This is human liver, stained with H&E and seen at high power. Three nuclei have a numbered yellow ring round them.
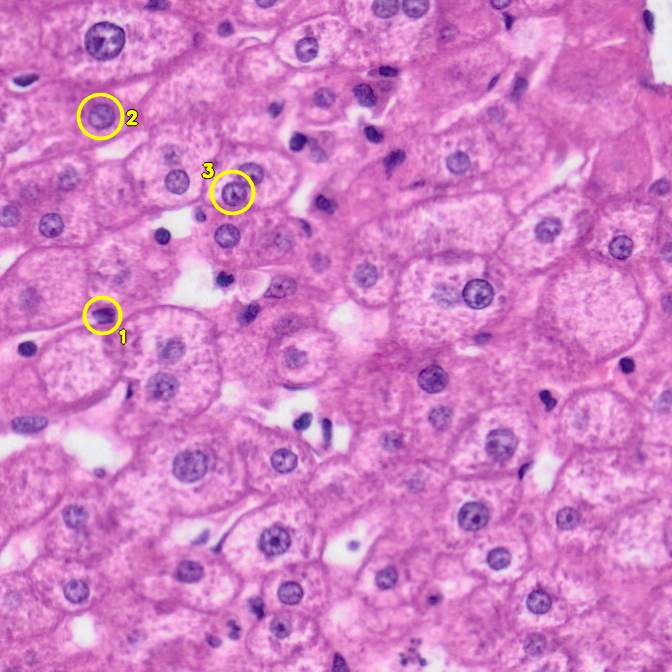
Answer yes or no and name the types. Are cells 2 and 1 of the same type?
No, hold on, cell 2 is a hepatocyte and cell 1 is an endothelial cell.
